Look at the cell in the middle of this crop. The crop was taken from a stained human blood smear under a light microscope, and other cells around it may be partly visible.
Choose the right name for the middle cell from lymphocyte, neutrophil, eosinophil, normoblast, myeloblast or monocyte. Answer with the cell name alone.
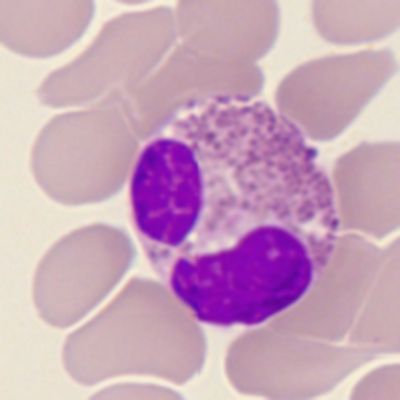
eosinophil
